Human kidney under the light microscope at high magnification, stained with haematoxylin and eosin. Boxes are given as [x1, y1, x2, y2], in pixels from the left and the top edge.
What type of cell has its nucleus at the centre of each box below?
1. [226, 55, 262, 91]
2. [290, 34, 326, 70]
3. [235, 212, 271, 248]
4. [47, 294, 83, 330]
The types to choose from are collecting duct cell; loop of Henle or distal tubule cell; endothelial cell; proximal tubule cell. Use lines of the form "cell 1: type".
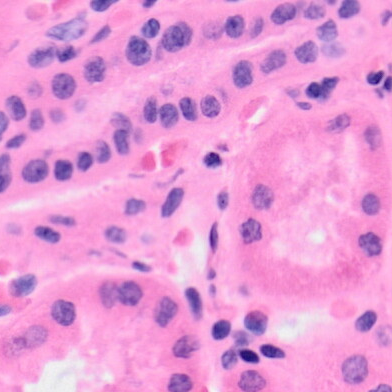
cell 1: collecting duct cell
cell 2: collecting duct cell
cell 3: proximal tubule cell
cell 4: proximal tubule cell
